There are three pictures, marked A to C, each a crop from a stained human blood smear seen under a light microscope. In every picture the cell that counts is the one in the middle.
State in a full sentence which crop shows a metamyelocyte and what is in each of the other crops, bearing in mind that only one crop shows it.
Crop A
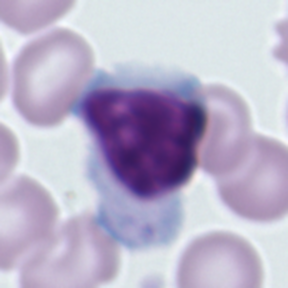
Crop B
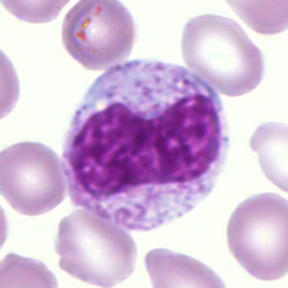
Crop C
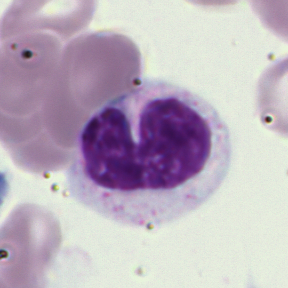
Regarding crop B, it shows a metamyelocyte, while crop A is a large granular lymphocyte and crop C is a band neutrophil.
